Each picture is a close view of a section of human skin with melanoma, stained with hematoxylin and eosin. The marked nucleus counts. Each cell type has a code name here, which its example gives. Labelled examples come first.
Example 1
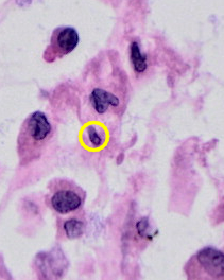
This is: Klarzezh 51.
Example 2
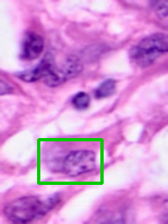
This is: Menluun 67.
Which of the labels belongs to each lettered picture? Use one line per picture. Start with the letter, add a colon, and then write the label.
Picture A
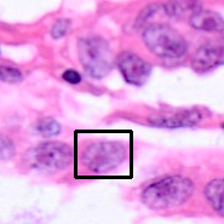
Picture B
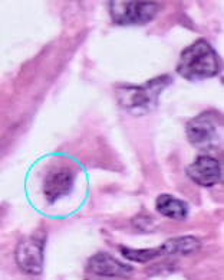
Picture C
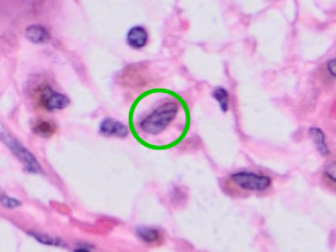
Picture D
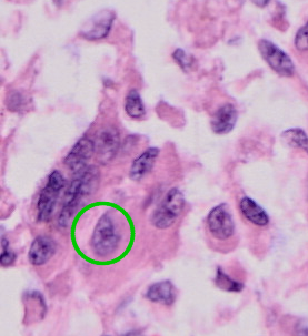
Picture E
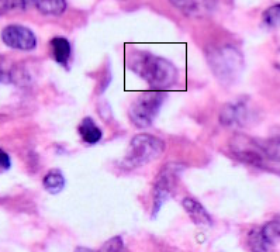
A: Menluun 67.
B: Menluun 67.
C: Klarzezh 51.
D: Menluun 67.
E: Menluun 67.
